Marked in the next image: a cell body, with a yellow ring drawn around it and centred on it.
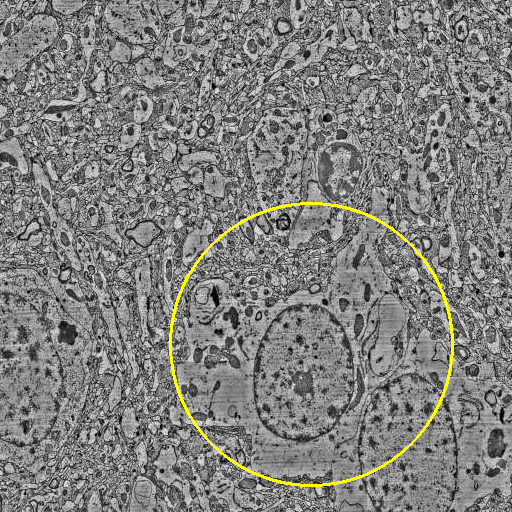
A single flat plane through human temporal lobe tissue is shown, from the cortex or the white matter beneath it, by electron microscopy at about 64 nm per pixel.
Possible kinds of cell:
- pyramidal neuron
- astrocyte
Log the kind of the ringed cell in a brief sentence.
The ringed cell body is that of an astrocyte.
